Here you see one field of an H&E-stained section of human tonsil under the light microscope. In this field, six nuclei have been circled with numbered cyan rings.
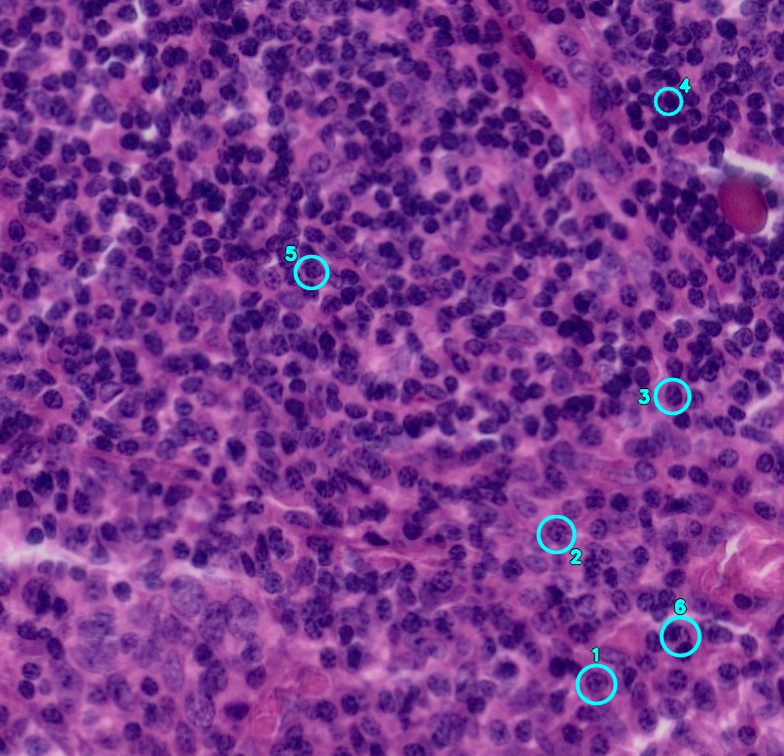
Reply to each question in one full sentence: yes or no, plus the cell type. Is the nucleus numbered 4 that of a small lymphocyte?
Yes, the cell that number 4 points to is a small lymphocyte.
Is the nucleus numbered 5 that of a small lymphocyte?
Yes, the cell that bears the number 5 is a small lymphocyte.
